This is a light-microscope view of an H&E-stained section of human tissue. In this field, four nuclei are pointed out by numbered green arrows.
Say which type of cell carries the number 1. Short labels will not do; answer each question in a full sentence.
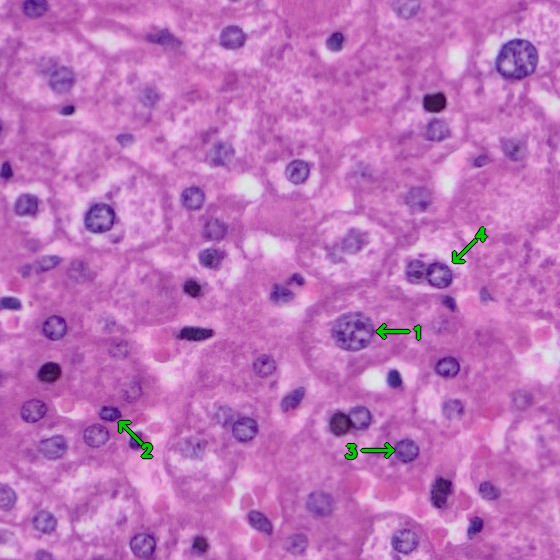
The nucleus labelled 1 belongs to a hepatocyte.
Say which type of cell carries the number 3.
The cell numbered 3 has been identified as a hepatocyte.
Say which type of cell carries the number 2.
The cell referenced by the number 2 is a fibroblast or stellate cell in this field.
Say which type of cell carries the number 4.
The cell that carries the label 4 is a hepatocyte.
